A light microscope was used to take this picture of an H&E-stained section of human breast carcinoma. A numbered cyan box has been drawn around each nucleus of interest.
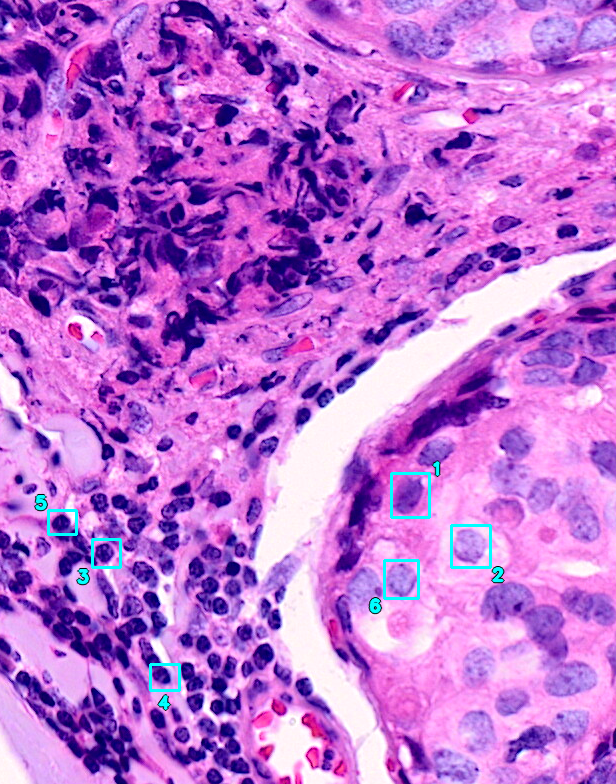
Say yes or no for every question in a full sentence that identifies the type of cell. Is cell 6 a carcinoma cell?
Yes, the cell that the number 6 labels is a carcinoma cell.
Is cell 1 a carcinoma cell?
Yes. The cell carrying number 1 is a carcinoma cell.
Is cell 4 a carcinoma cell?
No, the cell denoted 4 is a lymphocyte rather than a carcinoma cell.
